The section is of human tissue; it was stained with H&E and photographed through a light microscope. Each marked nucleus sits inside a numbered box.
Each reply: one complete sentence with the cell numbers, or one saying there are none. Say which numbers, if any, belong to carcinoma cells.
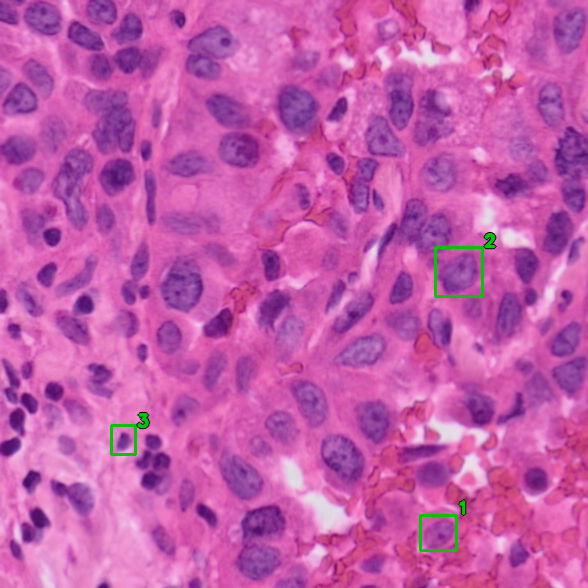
Of those with numbers, only cell 2 is a carcinoma cell.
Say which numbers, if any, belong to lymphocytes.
Only cell 3 is a lymphocyte; none of the other numbered cells is.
